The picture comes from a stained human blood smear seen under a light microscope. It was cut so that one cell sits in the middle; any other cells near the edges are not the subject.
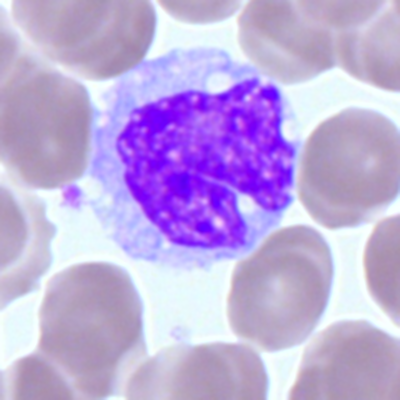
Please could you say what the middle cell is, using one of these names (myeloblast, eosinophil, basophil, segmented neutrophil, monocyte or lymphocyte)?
monocyte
